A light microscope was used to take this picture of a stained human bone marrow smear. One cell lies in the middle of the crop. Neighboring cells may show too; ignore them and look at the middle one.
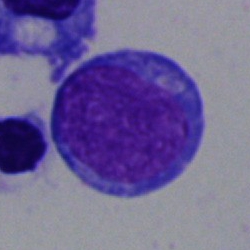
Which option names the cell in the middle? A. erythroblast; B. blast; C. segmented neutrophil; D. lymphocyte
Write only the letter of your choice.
B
